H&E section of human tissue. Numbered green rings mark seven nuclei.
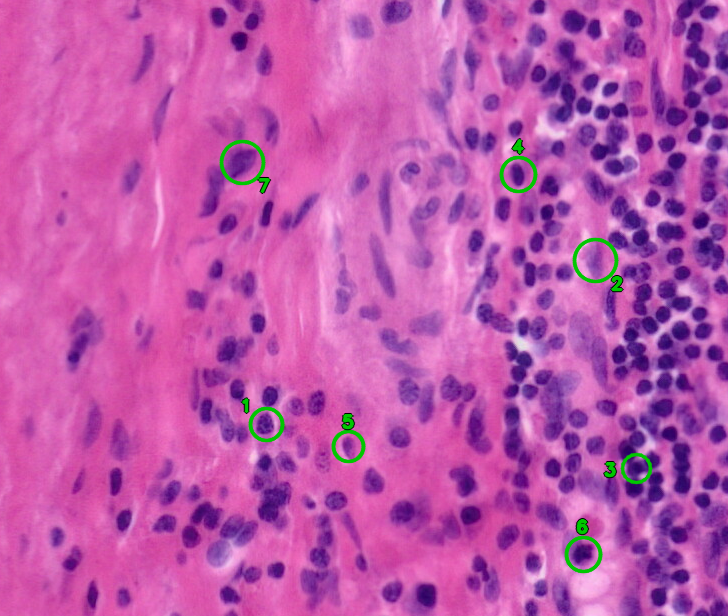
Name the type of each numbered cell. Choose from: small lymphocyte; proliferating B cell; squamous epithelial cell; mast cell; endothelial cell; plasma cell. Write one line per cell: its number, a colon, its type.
1: plasma cell
2: endothelial cell
3: small lymphocyte
4: mast cell
5: mast cell
6: endothelial cell
7: endothelial cell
